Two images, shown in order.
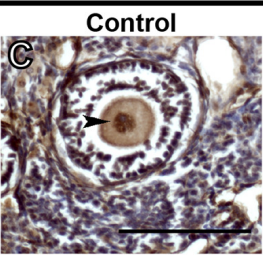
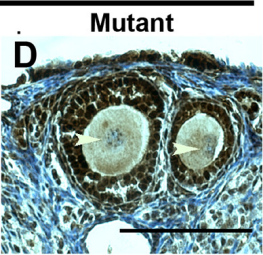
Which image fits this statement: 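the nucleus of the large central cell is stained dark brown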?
The first image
